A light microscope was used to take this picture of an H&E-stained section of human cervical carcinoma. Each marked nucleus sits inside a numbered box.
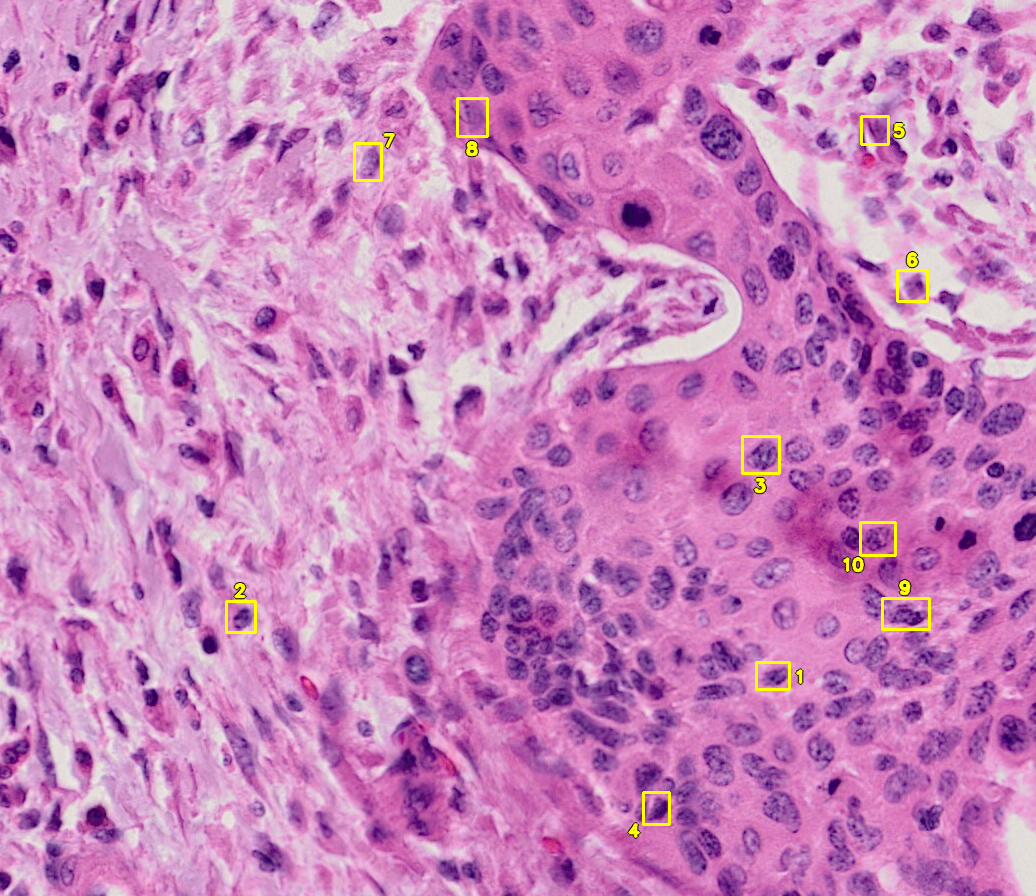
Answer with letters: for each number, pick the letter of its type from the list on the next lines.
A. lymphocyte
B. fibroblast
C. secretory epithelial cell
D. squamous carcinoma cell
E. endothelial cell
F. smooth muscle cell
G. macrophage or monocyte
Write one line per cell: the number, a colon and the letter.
1: D
2: A
3: D
4: D
5: E
6: B
7: B
8: D
9: D
10: D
